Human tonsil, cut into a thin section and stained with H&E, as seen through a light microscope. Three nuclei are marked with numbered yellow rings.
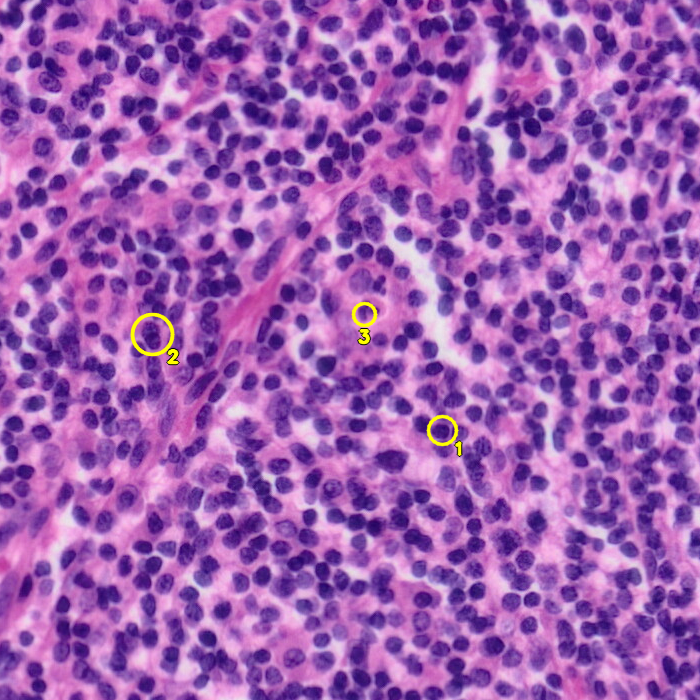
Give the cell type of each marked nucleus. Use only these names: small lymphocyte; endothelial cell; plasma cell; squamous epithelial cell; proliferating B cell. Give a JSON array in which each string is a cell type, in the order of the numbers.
["small lymphocyte", "small lymphocyte", "endothelial cell"]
